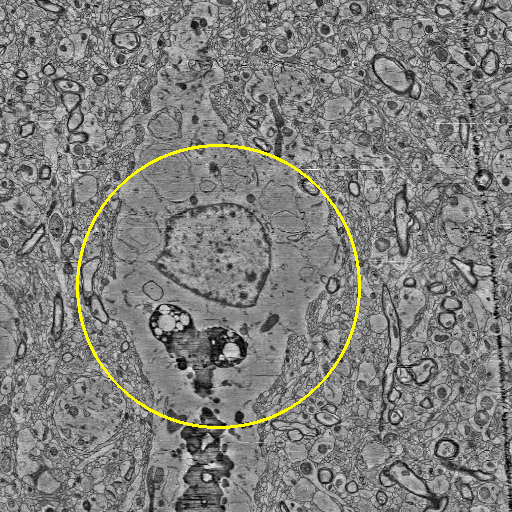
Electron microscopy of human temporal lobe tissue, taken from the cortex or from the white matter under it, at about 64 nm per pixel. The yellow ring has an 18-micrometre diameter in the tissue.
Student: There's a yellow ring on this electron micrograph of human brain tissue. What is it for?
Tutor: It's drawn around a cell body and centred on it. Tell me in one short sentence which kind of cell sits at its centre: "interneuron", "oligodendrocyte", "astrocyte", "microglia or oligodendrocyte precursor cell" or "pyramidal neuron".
The cell at the centre of the ring is an astrocyte.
